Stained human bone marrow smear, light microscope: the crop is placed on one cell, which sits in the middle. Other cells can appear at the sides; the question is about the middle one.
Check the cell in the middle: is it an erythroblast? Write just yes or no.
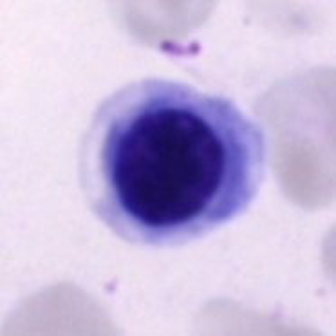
yes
